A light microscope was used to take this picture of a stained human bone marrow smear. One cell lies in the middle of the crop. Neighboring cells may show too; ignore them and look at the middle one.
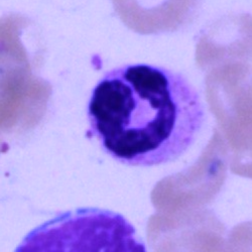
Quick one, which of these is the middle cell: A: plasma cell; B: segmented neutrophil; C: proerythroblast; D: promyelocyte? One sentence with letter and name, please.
Option B is correct in that the central cell is a segmented neutrophil.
